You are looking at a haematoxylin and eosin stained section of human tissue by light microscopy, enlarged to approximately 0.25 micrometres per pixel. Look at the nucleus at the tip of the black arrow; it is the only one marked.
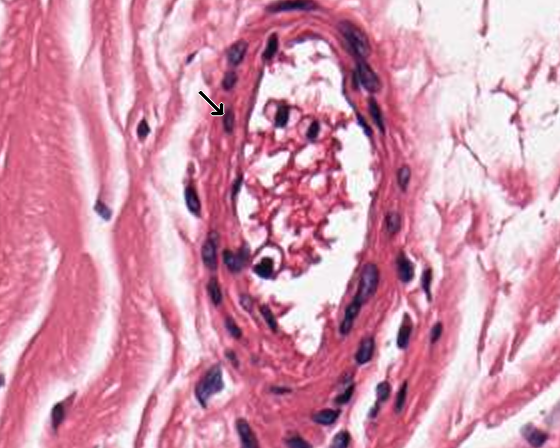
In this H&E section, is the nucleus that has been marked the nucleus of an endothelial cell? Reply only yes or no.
no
